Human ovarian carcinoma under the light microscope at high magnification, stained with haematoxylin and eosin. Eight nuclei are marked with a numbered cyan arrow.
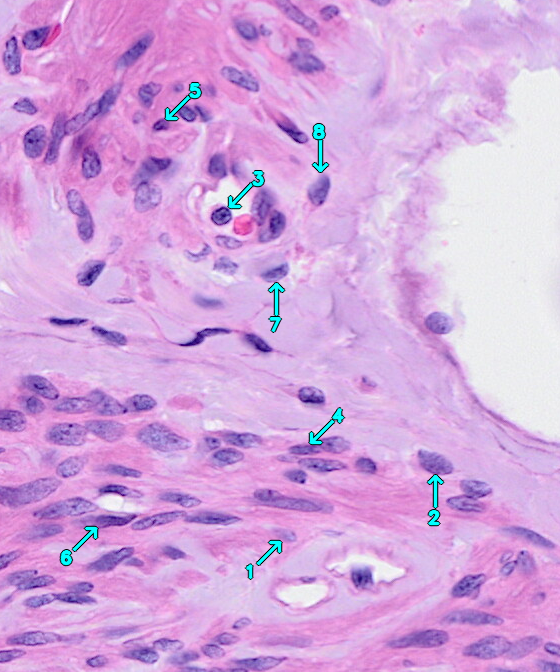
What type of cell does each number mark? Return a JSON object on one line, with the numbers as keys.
{"1": "smooth muscle cell", "2": "fibroblast", "3": "lymphocyte", "4": "smooth muscle cell", "5": "smooth muscle cell", "6": "smooth muscle cell", "7": "fibroblast", "8": "fibroblast"}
